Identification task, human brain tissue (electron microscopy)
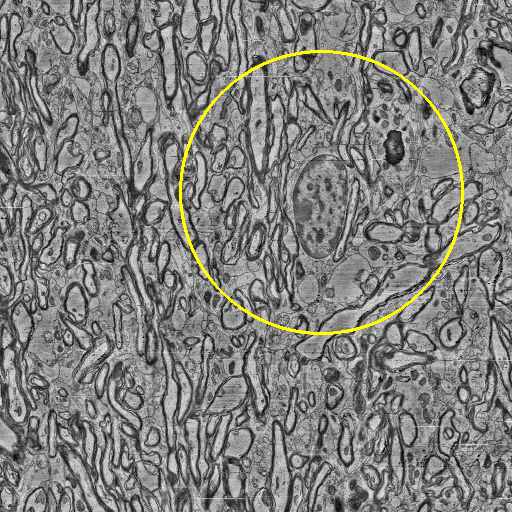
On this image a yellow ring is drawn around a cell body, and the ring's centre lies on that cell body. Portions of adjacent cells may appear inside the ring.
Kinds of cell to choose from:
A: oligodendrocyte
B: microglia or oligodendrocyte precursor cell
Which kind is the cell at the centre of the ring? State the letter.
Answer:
B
